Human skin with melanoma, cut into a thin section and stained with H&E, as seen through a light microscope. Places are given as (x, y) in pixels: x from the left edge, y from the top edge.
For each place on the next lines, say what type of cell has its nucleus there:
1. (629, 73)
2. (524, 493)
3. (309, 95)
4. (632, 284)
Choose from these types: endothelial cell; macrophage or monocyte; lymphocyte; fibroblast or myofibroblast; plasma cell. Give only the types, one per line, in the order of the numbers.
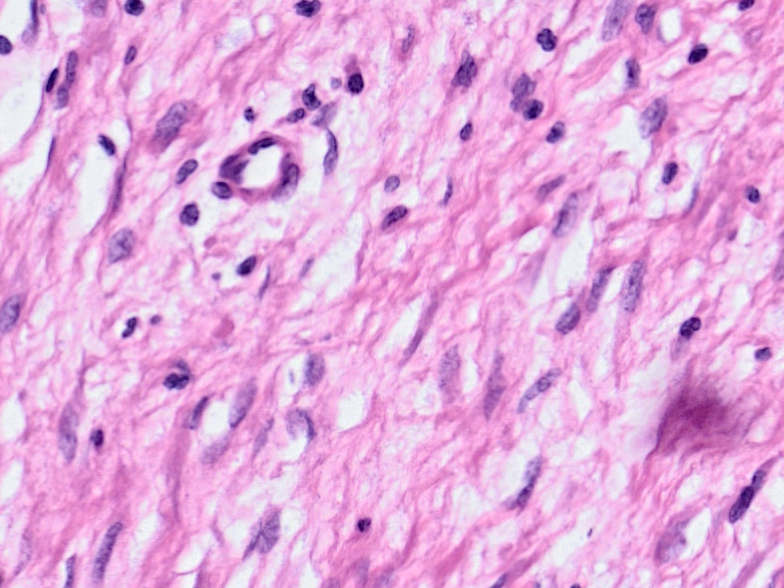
fibroblast or myofibroblast
fibroblast or myofibroblast
lymphocyte
fibroblast or myofibroblast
